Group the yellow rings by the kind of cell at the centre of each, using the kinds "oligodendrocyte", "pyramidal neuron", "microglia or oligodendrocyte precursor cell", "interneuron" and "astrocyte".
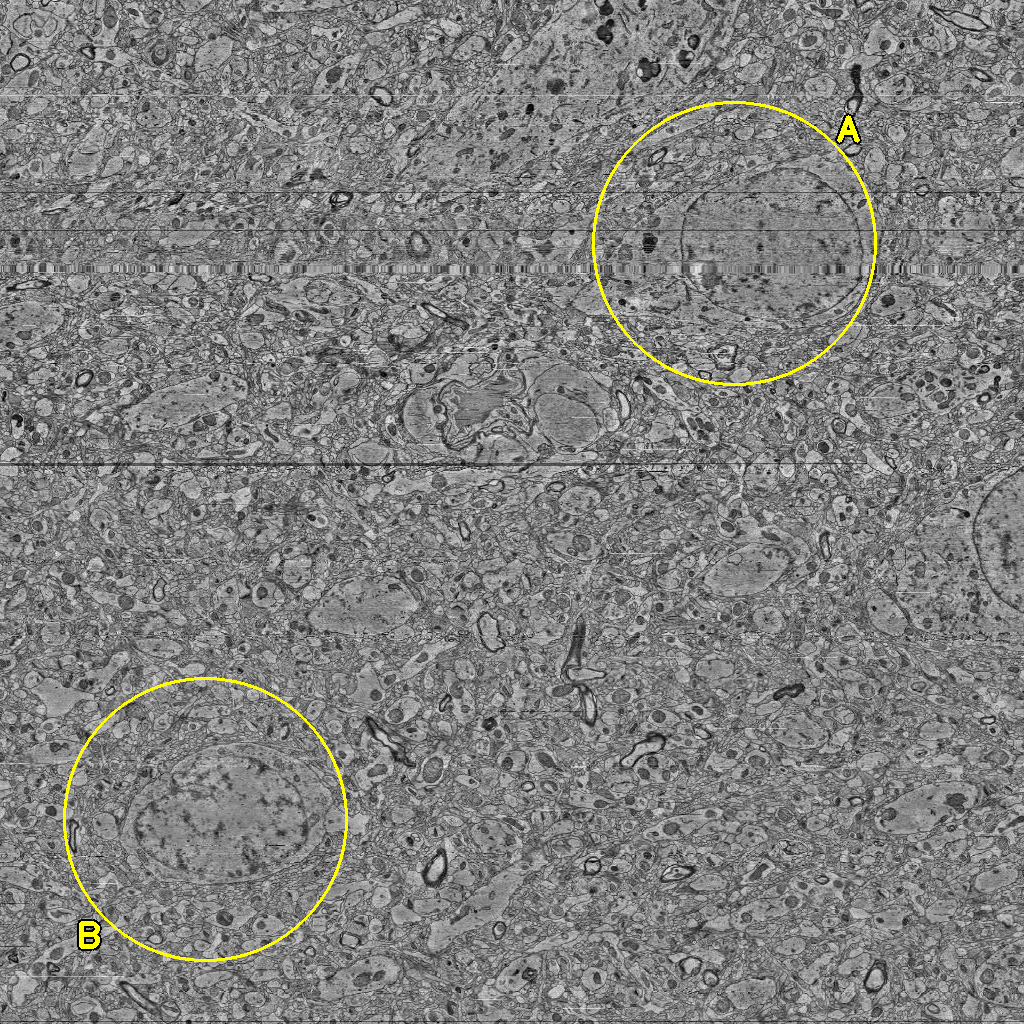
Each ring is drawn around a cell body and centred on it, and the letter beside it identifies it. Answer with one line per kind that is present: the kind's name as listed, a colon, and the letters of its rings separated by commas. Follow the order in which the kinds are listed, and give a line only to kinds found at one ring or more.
pyramidal neuron: A
interneuron: B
